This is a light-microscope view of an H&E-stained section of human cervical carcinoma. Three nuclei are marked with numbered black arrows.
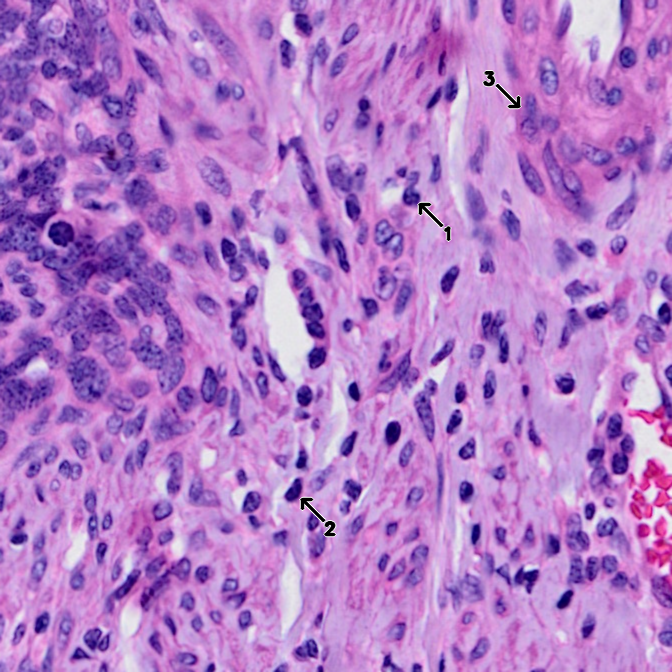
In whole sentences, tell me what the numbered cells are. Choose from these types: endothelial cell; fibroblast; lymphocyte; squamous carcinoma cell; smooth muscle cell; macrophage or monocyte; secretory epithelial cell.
Cells 1 and 2 are lymphocytes. Cell 3 is a smooth muscle cell.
